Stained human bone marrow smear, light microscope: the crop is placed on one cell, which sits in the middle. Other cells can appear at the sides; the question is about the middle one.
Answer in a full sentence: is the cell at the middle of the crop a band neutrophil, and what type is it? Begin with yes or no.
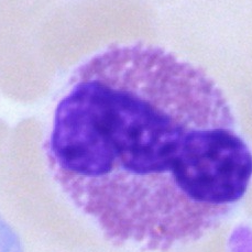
No, the identification should read an eosinophil, not a band neutrophil, for the central cell.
